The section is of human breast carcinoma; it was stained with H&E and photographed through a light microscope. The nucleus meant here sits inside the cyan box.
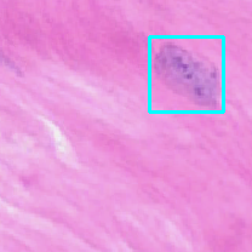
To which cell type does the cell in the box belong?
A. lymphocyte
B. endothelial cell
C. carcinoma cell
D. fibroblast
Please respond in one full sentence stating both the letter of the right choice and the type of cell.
The item is answered by option D: the cell in the box is a fibroblast.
